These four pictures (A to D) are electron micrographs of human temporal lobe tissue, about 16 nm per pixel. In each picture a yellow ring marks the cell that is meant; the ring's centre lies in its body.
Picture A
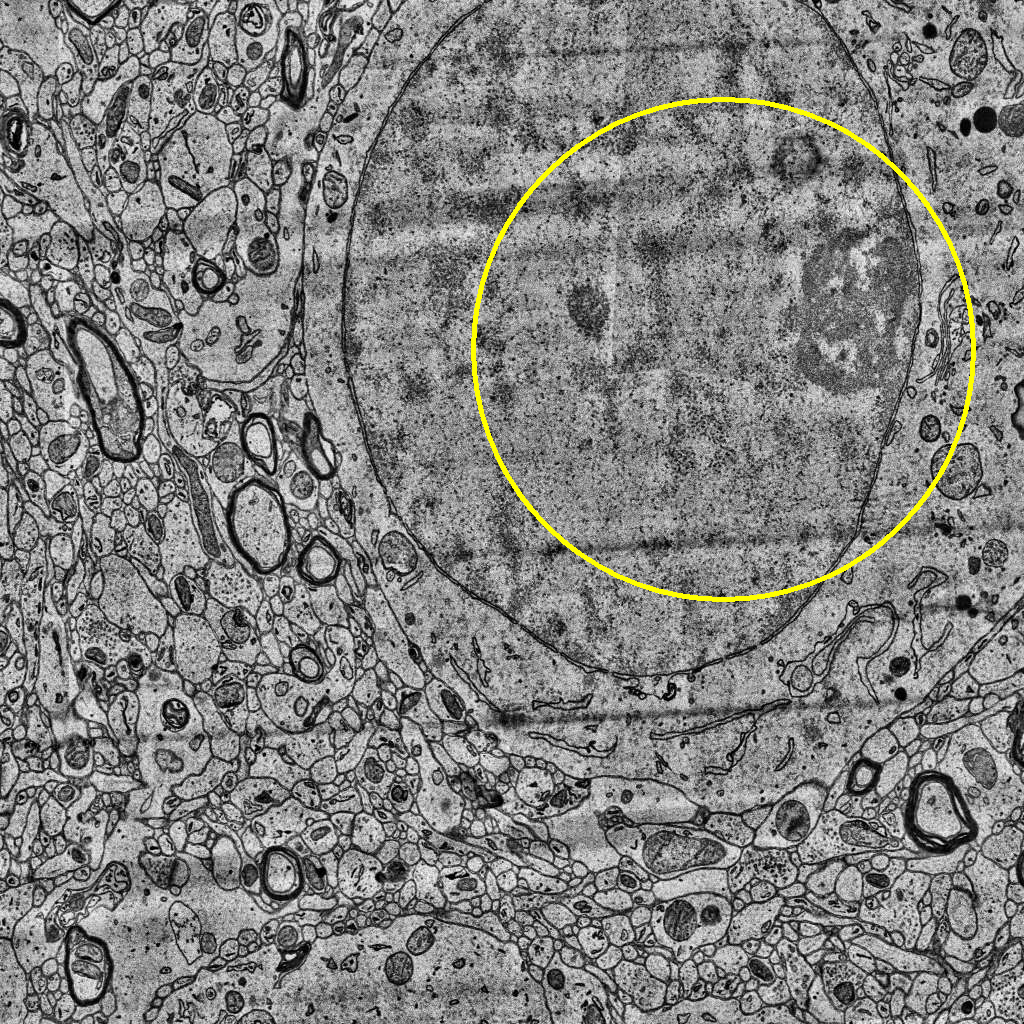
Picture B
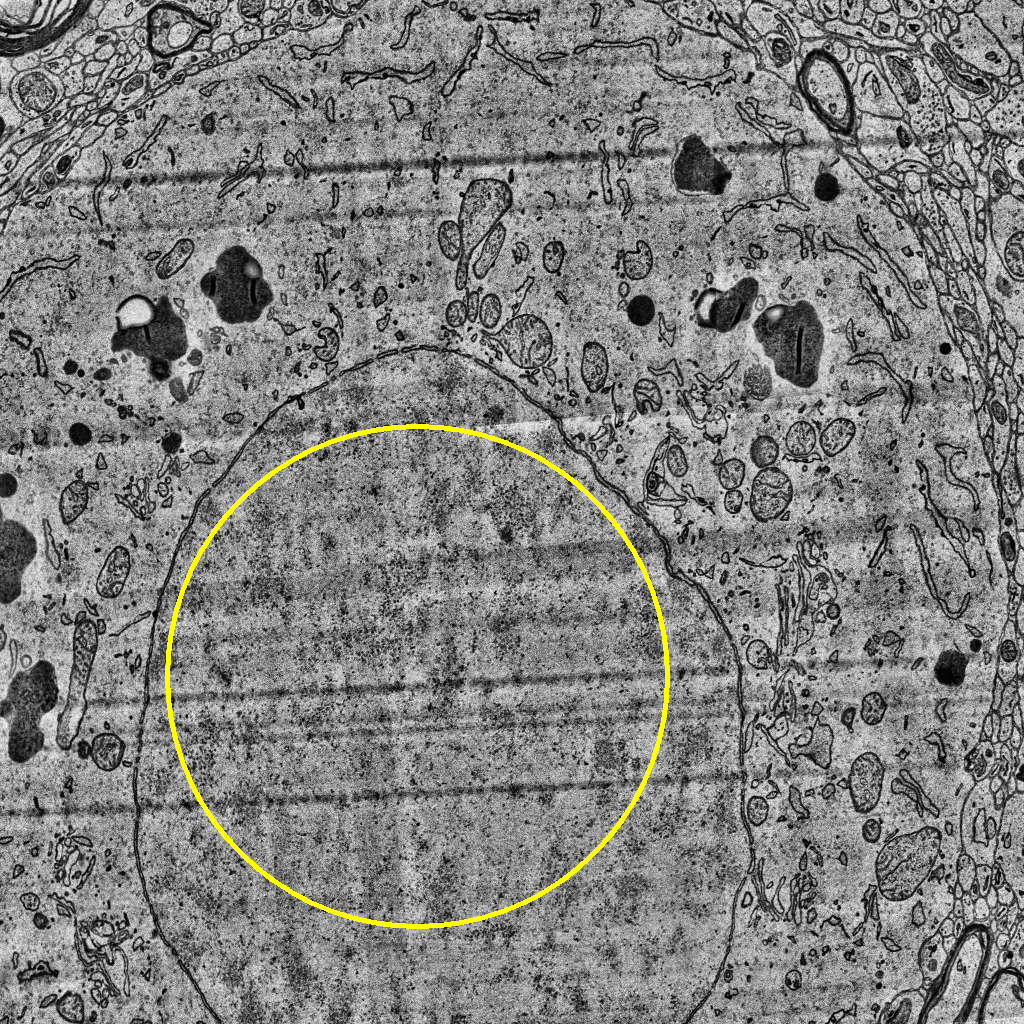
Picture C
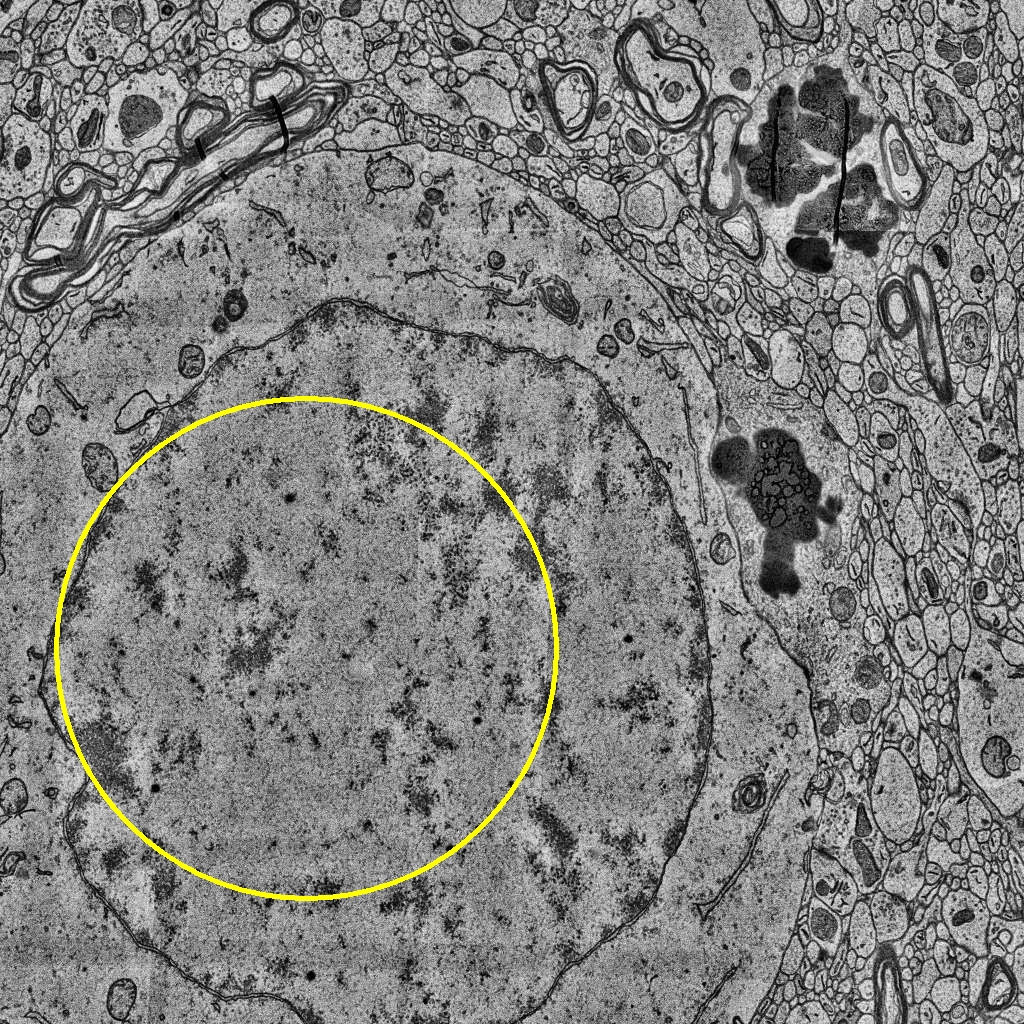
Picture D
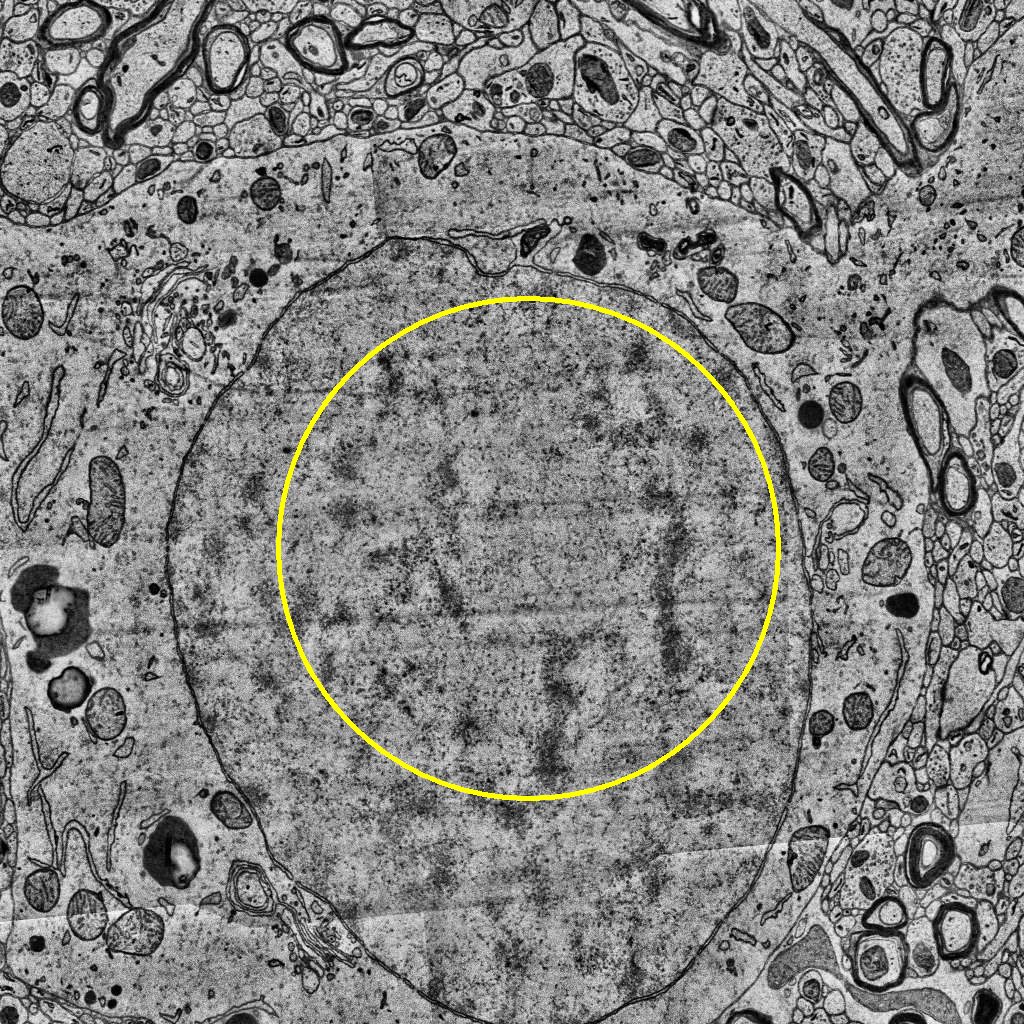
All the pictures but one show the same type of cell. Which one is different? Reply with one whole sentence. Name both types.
The different one is picture C; it shows an interneuron, whereas all the others show pyramidal neurons.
